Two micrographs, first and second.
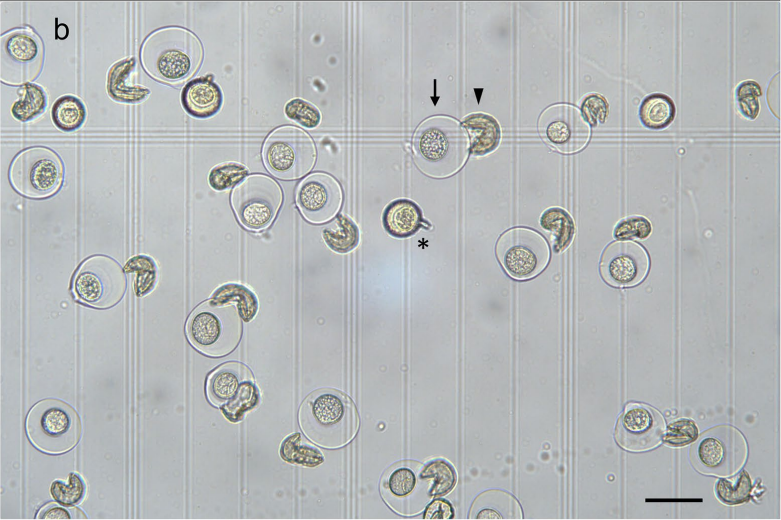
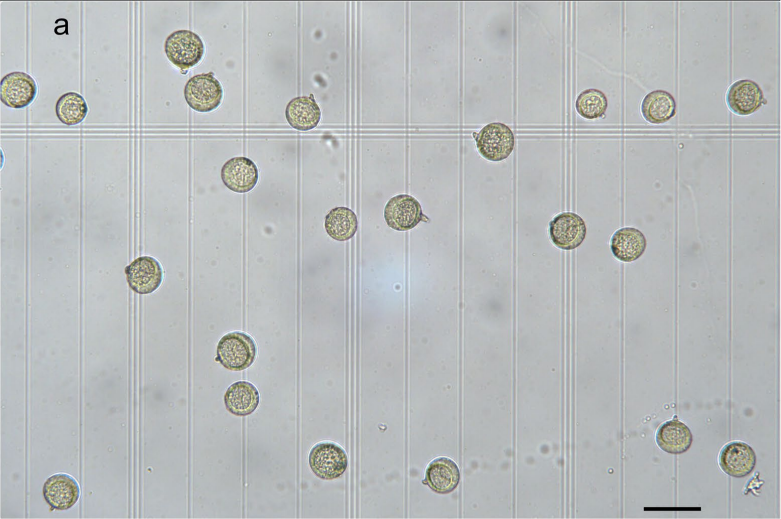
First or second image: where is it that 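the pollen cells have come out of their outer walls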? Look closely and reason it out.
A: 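First image: most round cells sit inside clear envelopes beside crumpled empty shells. Second image: all grains are intact round bodies with a textured outer wall and no empty shells.
Answer: the first image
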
